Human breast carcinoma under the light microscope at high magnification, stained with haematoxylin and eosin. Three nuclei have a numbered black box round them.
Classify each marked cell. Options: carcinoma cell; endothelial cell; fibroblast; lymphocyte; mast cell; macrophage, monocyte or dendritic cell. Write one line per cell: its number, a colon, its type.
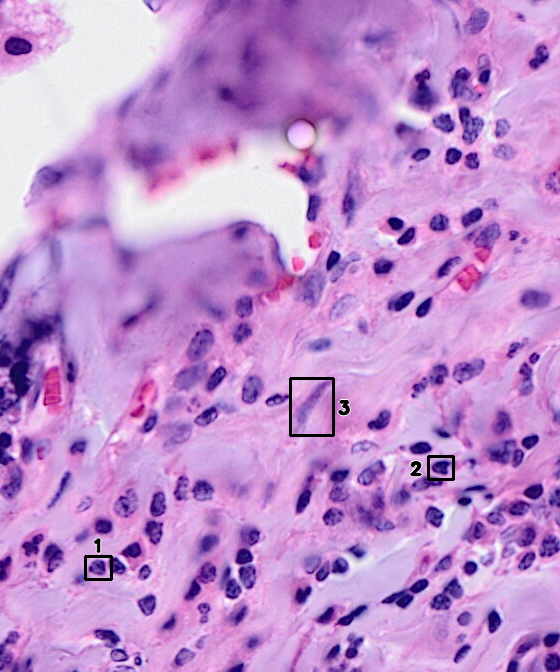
1: lymphocyte
2: lymphocyte
3: fibroblast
